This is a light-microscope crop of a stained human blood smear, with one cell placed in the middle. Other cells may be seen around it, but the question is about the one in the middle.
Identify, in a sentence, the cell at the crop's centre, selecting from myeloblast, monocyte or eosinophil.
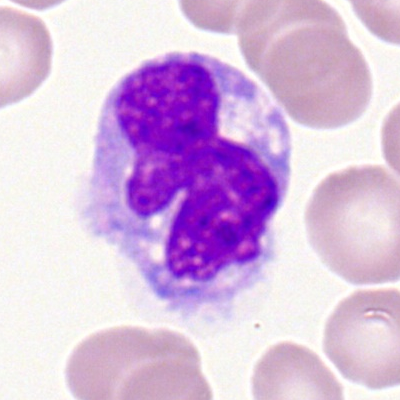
Looking at the middle of the crop, the cell there is a monocyte.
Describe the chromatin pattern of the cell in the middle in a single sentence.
The chromatin here is fine and lacks any coarse clumps.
